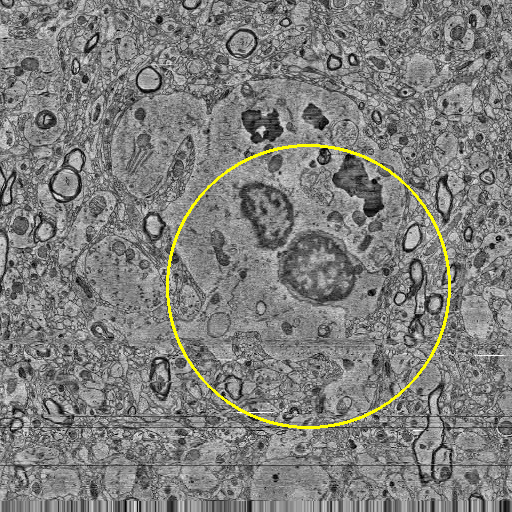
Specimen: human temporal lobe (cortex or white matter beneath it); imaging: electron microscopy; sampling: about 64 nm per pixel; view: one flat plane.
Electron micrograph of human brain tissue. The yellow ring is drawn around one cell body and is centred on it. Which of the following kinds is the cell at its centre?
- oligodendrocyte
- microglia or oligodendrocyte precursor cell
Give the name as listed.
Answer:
oligodendrocyte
